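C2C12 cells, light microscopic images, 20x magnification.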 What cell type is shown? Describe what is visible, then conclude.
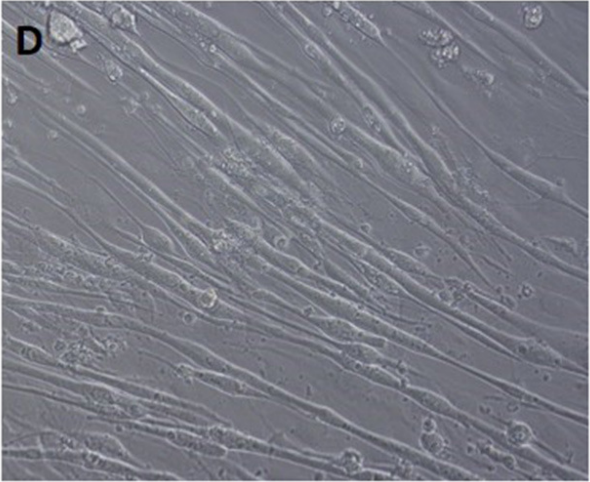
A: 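Myotube. Long, thin, unbranched tube-like fibres run in parallel across the field. The fibres are far longer than the single flat cells of an ordinary culture.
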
